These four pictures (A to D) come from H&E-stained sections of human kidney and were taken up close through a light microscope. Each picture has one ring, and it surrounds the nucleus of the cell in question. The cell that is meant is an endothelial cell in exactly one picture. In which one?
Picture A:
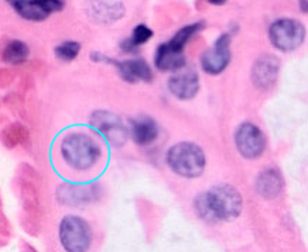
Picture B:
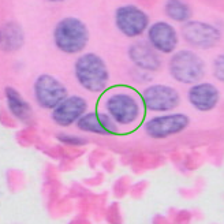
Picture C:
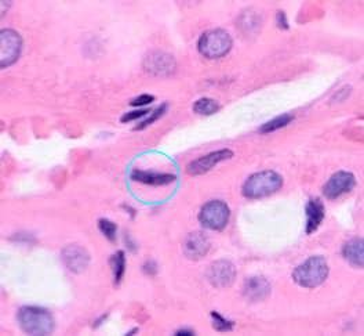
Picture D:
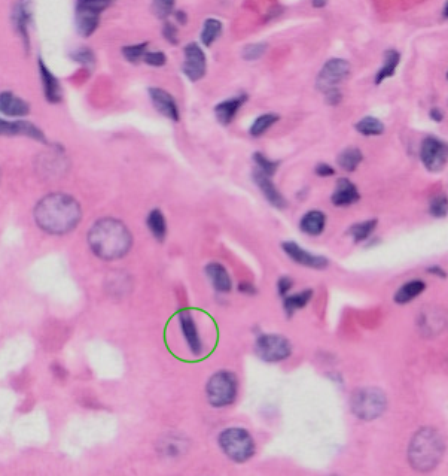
D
